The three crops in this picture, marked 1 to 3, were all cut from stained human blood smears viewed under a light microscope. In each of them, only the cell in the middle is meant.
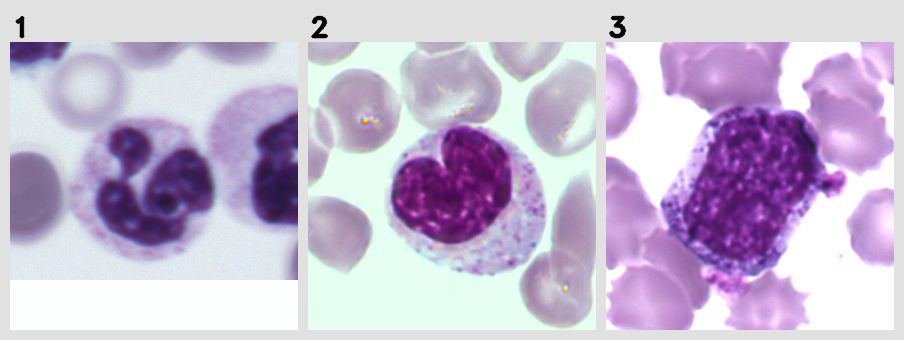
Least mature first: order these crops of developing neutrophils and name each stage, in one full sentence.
Least to most mature, the crops are crop 3 (a myelocyte), crop 2 (a band neutrophil) and crop 1 (a segmented neutrophil).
